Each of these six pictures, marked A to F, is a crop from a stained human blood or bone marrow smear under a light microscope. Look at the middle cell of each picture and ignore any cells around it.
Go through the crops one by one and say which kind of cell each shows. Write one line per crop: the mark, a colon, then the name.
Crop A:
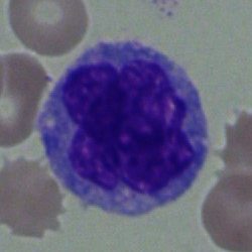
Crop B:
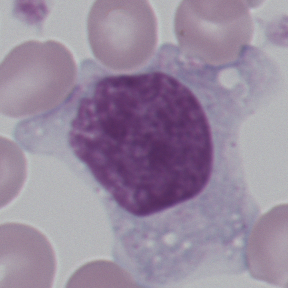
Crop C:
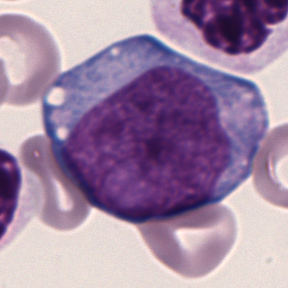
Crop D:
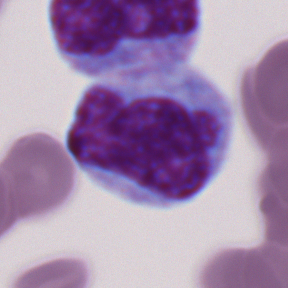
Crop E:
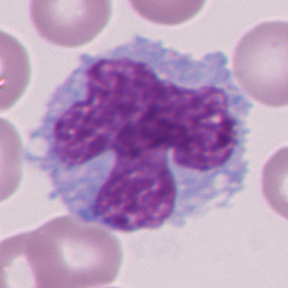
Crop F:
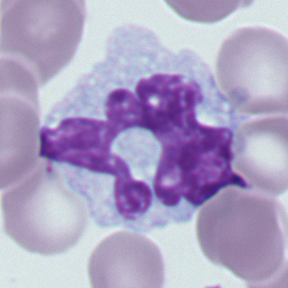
A: monocyte
B: monocyte
C: promyelocyte
D: monocyte
E: monocyte
F: monocyte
